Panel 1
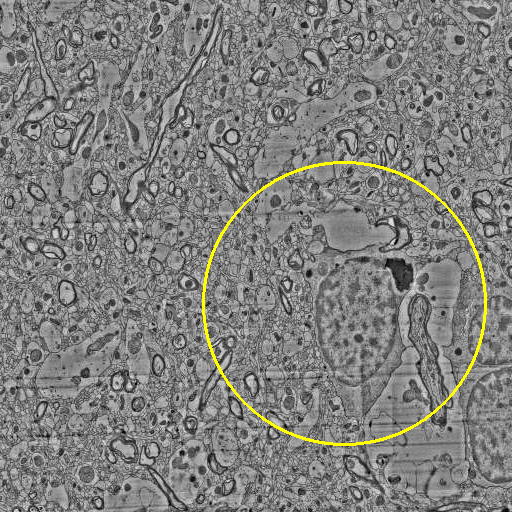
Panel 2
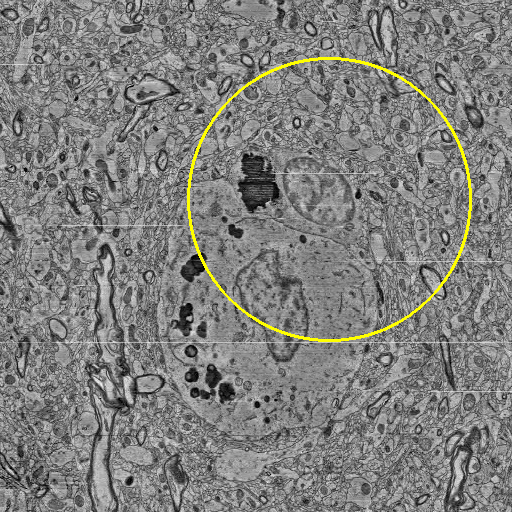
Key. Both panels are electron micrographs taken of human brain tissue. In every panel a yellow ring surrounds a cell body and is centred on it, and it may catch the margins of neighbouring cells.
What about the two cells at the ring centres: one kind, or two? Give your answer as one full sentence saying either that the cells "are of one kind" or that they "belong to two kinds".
Across Panels 1 and 2, the two cells at the ring centres are of one kind.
